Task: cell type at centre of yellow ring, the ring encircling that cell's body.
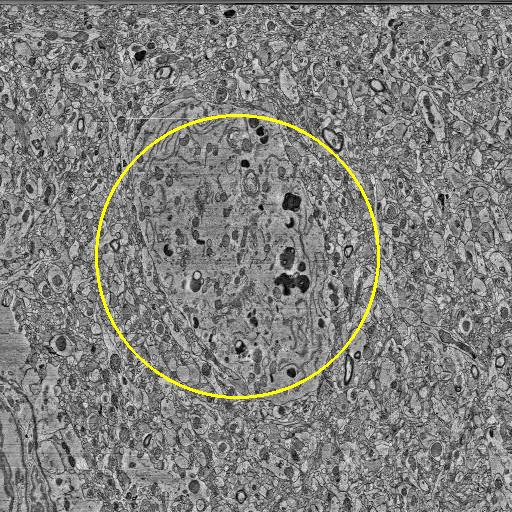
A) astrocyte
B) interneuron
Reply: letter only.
B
